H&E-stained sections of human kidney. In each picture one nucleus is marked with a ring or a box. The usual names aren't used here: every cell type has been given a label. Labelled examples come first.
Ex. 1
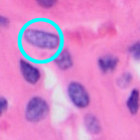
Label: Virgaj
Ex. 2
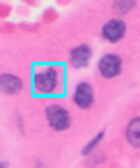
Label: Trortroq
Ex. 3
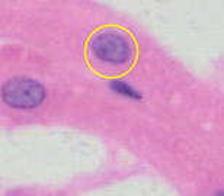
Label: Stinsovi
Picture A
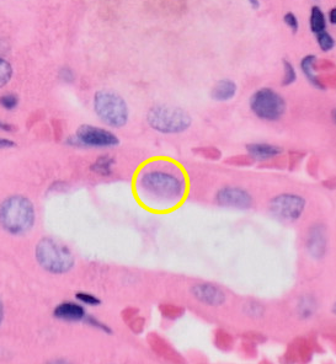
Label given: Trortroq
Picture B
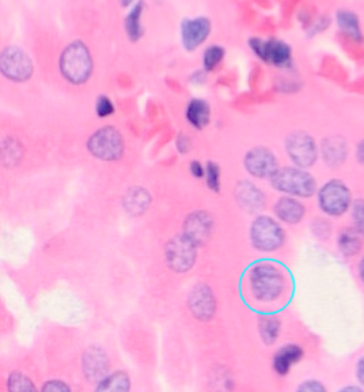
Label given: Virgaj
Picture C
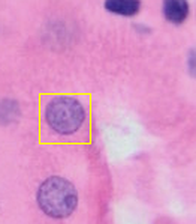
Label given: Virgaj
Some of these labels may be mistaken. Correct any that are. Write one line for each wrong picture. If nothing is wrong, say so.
Wrong: C (Virgaj); correct: Stinsovi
